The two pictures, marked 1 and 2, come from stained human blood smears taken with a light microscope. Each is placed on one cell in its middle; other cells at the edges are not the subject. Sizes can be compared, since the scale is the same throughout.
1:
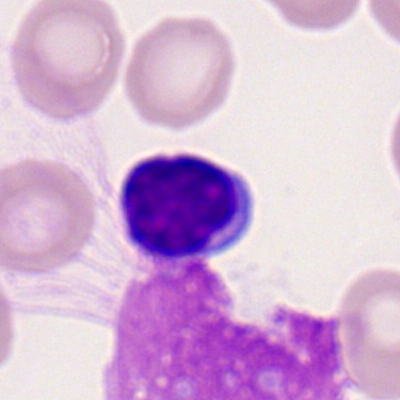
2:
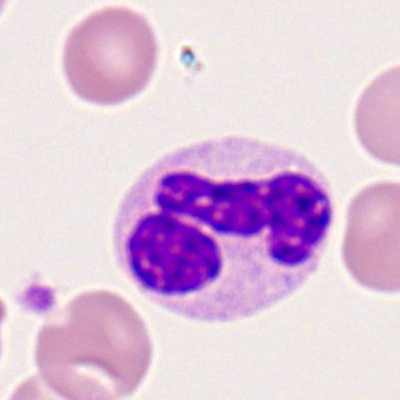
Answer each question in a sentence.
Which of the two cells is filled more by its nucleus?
It is the cell in crop 1 that is filled more by its nucleus.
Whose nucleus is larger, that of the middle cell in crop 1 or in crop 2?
Larger is the nucleus in crop 2, at roughly 1.5 times the area of the other.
